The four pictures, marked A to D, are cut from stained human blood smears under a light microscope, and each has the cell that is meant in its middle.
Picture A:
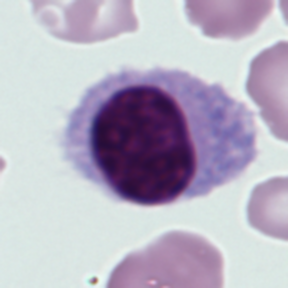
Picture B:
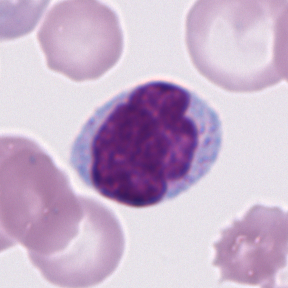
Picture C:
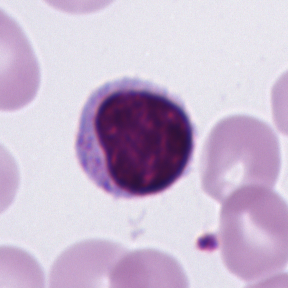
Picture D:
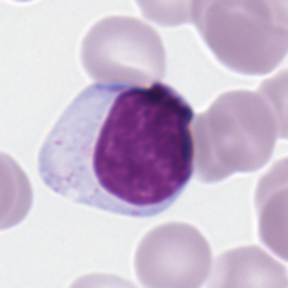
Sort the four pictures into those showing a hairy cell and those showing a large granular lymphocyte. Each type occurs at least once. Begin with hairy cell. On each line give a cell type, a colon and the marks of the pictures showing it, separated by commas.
hairy cell: A
large granular lymphocyte: B, C, D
